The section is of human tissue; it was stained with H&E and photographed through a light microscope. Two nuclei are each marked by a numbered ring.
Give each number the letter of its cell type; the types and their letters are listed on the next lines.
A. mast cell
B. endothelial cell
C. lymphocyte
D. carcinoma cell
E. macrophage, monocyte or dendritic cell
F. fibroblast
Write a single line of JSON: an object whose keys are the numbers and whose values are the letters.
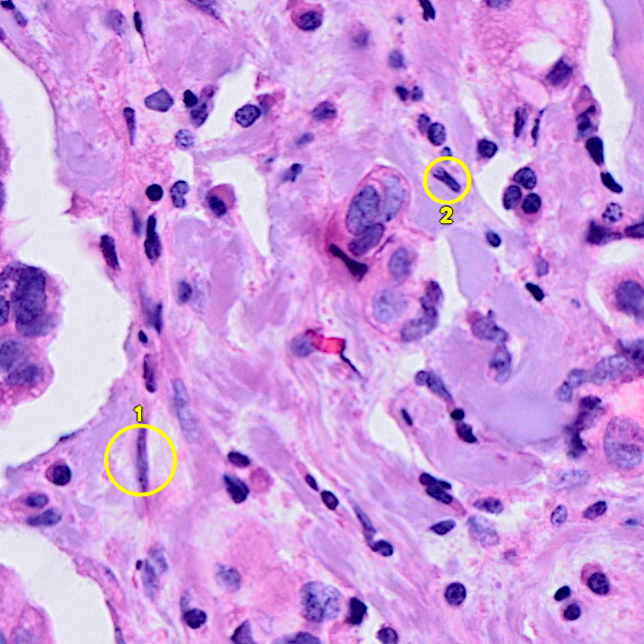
{"1": "F", "2": "C"}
